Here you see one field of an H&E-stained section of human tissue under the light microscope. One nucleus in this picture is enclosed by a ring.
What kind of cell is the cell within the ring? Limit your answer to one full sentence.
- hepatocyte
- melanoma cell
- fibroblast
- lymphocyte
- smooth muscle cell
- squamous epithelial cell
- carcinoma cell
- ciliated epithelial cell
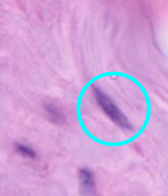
The category to which the cell within the ring belongs is that of a fibroblast.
